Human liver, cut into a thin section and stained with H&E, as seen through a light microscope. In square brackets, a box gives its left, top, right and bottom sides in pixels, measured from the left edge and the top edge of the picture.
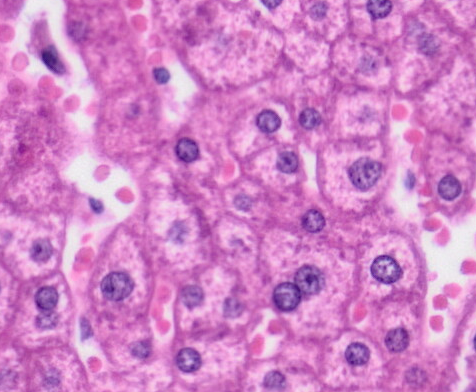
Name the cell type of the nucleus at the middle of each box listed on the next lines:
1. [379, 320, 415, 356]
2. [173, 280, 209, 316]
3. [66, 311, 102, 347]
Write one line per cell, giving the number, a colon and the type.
1: hepatocyte
2: hepatocyte
3: endothelial cell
